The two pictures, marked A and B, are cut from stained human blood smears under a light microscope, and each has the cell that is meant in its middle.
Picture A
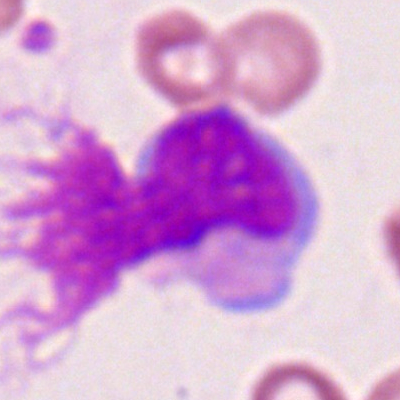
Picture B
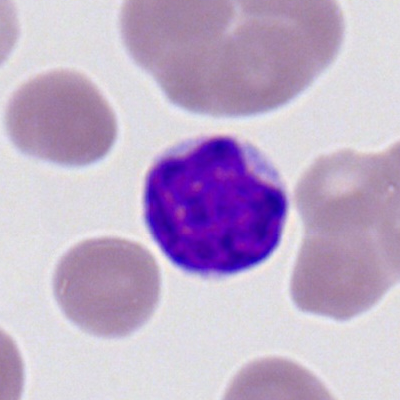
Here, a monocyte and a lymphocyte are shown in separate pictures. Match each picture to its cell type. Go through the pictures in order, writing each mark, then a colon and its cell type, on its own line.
A: monocyte
B: lymphocyte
